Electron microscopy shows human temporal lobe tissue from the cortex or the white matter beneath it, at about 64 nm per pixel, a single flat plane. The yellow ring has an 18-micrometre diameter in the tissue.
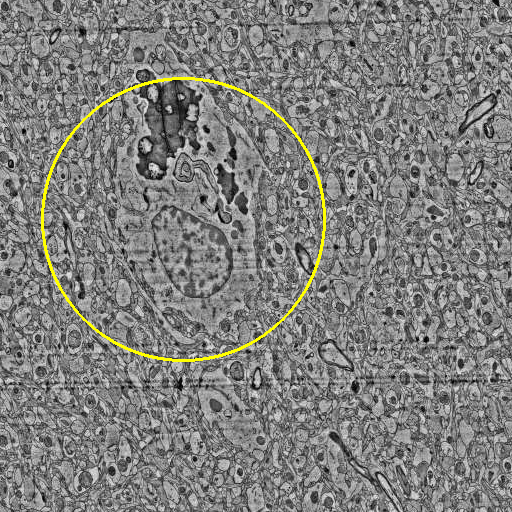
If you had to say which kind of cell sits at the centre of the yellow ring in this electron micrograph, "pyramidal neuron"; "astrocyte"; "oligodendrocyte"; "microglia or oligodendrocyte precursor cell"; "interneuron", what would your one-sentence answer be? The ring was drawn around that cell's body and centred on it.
The cell sitting at the centre of the ring is an astrocyte.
